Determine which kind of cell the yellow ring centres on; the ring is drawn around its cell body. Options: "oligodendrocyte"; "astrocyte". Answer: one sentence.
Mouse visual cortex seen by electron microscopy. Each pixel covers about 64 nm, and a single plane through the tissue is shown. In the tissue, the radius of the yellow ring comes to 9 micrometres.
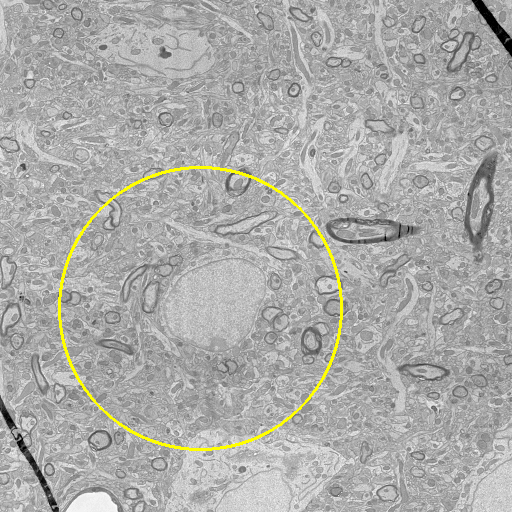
The ring centres on an astrocyte.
